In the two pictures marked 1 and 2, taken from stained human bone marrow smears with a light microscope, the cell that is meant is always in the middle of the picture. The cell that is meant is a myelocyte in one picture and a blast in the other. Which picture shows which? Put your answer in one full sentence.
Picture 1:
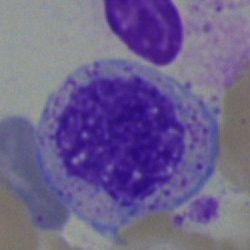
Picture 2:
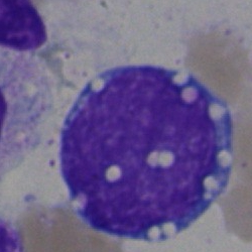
The cell in picture 1 is a myelocyte, and the one in picture 2 is a blast.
